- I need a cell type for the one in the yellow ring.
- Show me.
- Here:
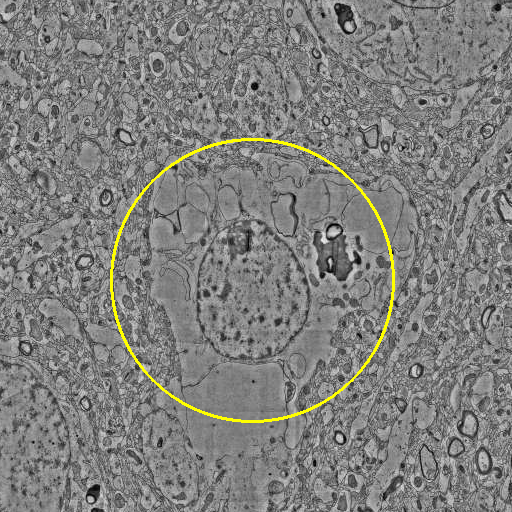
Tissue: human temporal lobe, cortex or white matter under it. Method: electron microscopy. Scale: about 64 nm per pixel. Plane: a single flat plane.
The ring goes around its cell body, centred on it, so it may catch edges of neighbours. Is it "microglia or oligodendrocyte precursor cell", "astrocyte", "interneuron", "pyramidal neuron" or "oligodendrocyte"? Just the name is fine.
astrocyte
